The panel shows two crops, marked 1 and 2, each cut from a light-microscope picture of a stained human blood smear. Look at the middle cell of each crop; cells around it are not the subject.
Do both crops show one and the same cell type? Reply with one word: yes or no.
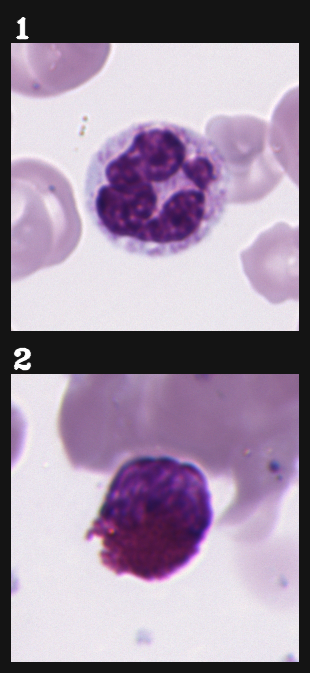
no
